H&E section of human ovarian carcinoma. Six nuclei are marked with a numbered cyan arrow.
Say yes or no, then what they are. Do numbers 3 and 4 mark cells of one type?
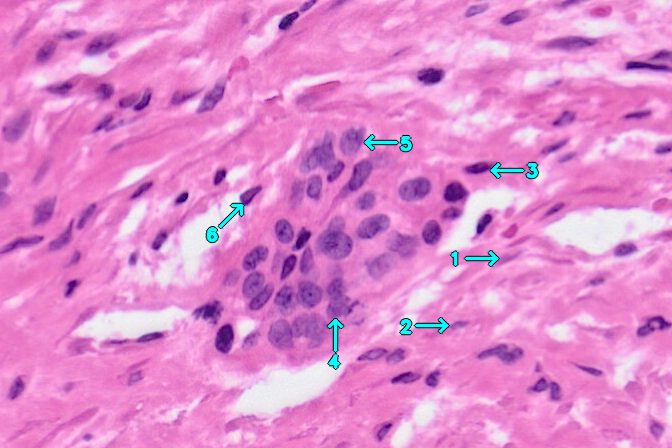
No, cell 3 is a fibroblast and cell 4 is a carcinoma cell.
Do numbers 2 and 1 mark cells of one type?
Yes, both are fibroblasts.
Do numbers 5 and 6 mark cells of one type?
No, cell 5 is a carcinoma cell and cell 6 is a fibroblast.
